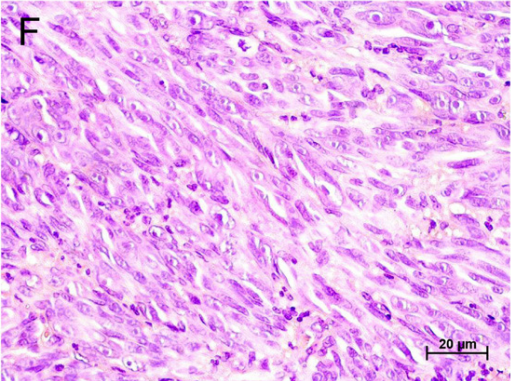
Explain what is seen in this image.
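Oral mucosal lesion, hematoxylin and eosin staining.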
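This field shows the spindle-cell component of a malignant tumor. The cells are elongated, with tapering pink cytoplasm, and they run side by side in parallel, sweeping bundles, giving a fascicular pattern. Their nuclei are long and cigar-shaped to oval, many dark-staining, and they vary in size, with some larger, paler nuclei showing a visible nucleolus. The cells are closely packed with little intervening stroma. No brown pigment is visible.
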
